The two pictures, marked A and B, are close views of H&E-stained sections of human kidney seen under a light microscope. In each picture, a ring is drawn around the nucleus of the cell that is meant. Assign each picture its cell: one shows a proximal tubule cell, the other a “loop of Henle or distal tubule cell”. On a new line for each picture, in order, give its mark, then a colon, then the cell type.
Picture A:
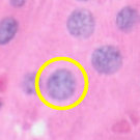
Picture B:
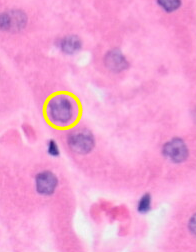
A: loop of Henle or distal tubule cell
B: proximal tubule cell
